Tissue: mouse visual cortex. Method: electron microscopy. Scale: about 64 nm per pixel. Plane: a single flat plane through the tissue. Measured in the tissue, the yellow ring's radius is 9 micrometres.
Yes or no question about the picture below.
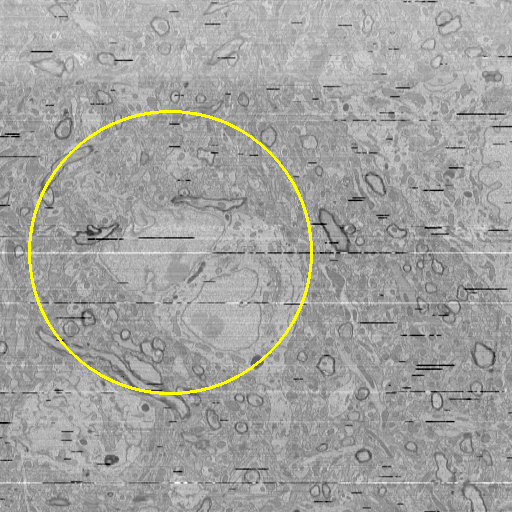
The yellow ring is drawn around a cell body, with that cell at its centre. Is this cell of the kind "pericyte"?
no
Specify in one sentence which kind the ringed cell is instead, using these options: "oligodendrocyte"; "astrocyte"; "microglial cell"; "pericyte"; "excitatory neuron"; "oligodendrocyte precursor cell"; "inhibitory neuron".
Instead, the cell at the centre of the yellow ring is an oligodendrocyte precursor cell.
